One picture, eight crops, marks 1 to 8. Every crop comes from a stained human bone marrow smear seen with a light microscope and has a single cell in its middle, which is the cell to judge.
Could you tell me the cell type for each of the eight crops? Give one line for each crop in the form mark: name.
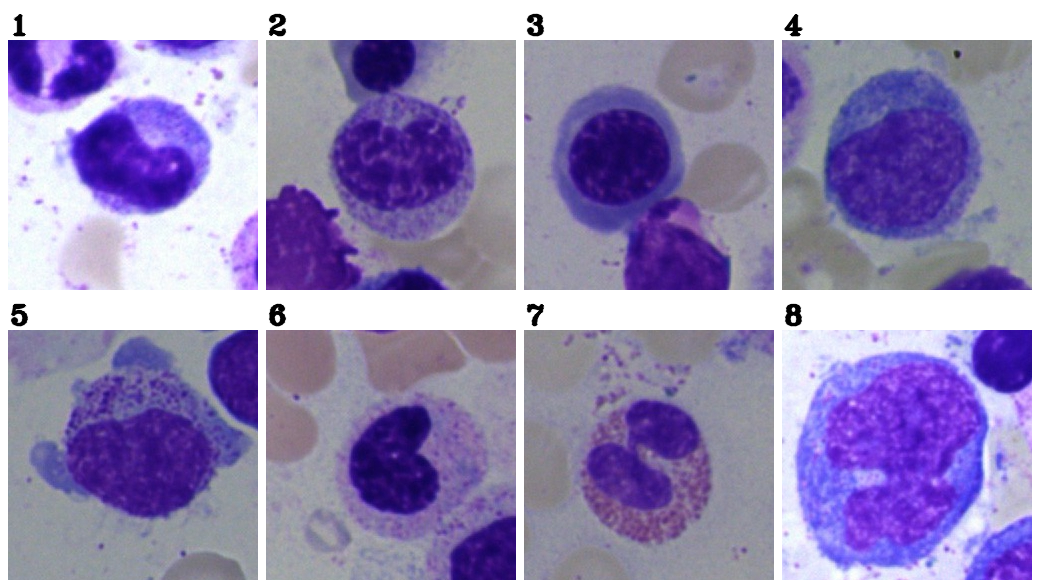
1: metamyelocyte
2: metamyelocyte
3: erythroblast
4: monocyte
5: myelocyte
6: band neutrophil
7: eosinophil
8: monocyte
